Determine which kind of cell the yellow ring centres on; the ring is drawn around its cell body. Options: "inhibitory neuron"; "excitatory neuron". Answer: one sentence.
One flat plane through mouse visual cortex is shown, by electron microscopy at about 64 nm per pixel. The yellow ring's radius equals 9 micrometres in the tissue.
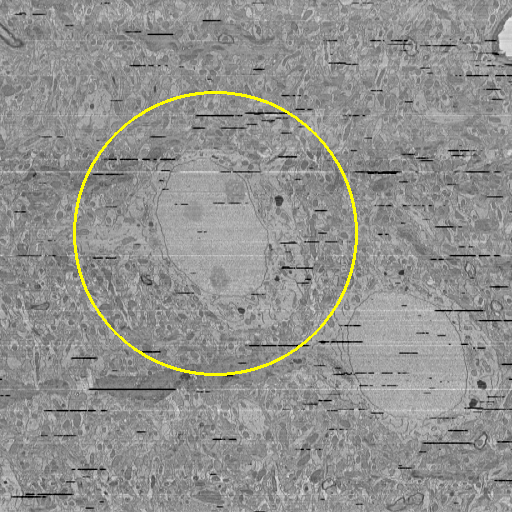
The ring centres on an excitatory neuron.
